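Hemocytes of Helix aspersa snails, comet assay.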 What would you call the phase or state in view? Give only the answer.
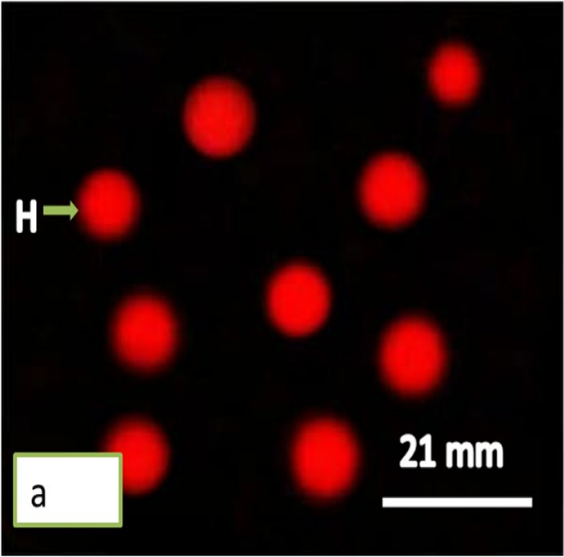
undamaged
